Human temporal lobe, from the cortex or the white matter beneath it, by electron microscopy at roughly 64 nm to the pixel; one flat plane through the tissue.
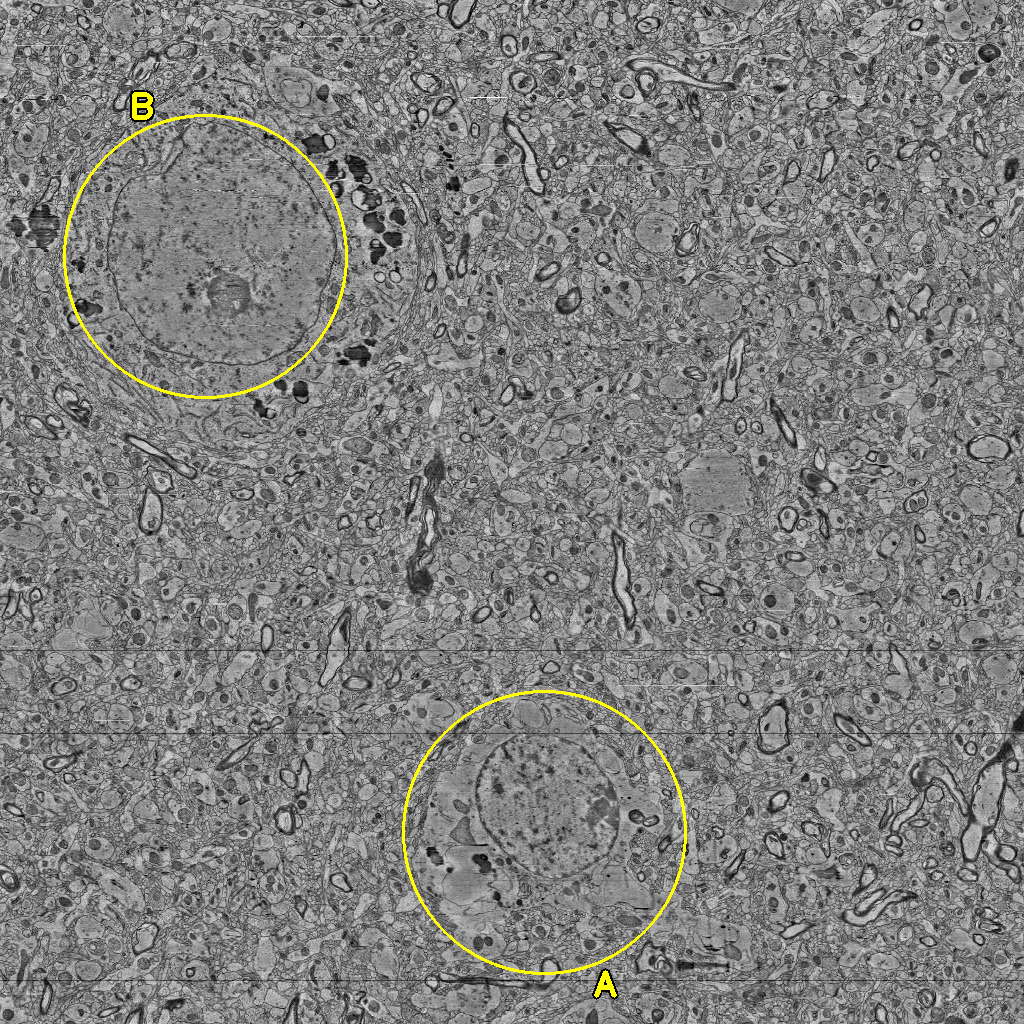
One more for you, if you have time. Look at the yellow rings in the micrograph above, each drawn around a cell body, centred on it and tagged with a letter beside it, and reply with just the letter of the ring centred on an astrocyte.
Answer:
A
